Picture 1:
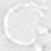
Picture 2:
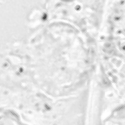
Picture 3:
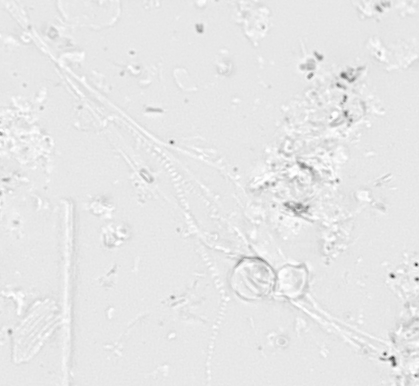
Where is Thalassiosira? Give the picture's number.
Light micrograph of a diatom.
1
